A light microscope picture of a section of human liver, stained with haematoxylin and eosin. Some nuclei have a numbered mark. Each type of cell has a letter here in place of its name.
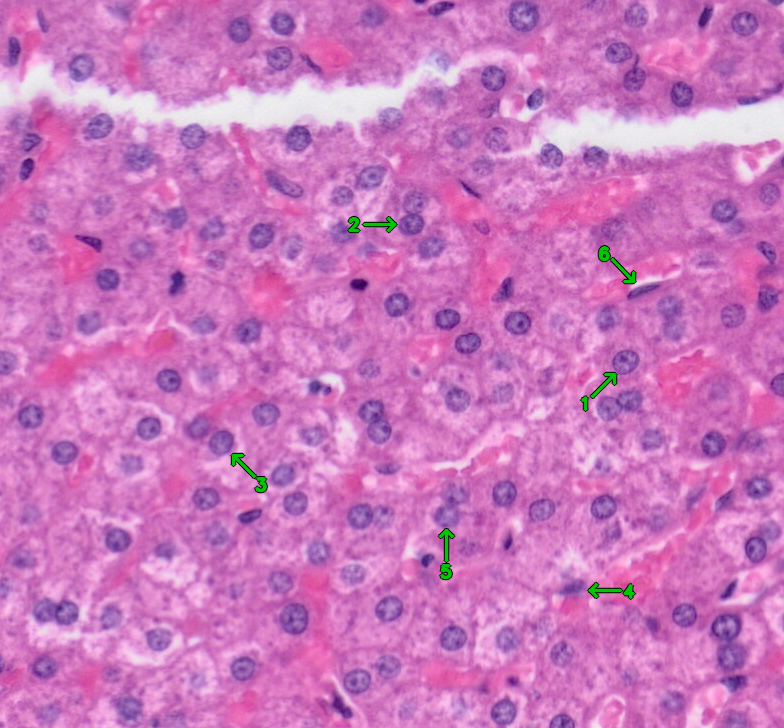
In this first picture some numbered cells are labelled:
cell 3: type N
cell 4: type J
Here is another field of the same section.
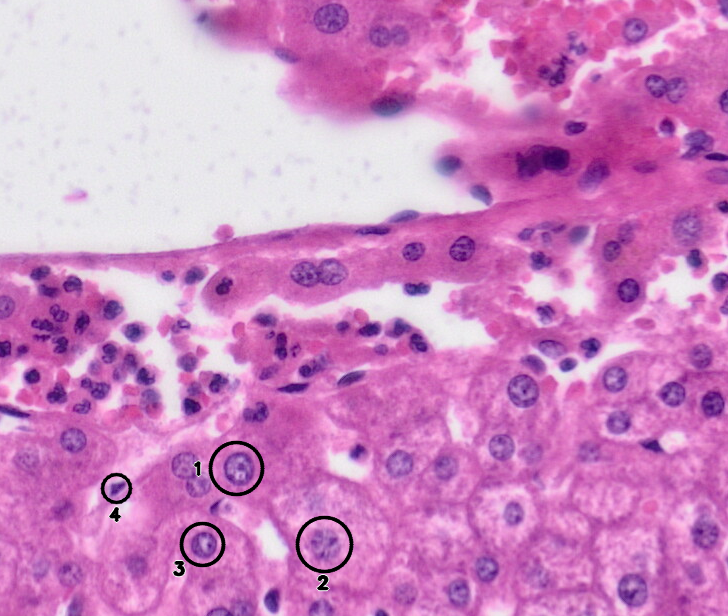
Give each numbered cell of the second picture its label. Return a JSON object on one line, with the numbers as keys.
{"1": "type N", "2": "type N", "3": "type N", "4": "type J"}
